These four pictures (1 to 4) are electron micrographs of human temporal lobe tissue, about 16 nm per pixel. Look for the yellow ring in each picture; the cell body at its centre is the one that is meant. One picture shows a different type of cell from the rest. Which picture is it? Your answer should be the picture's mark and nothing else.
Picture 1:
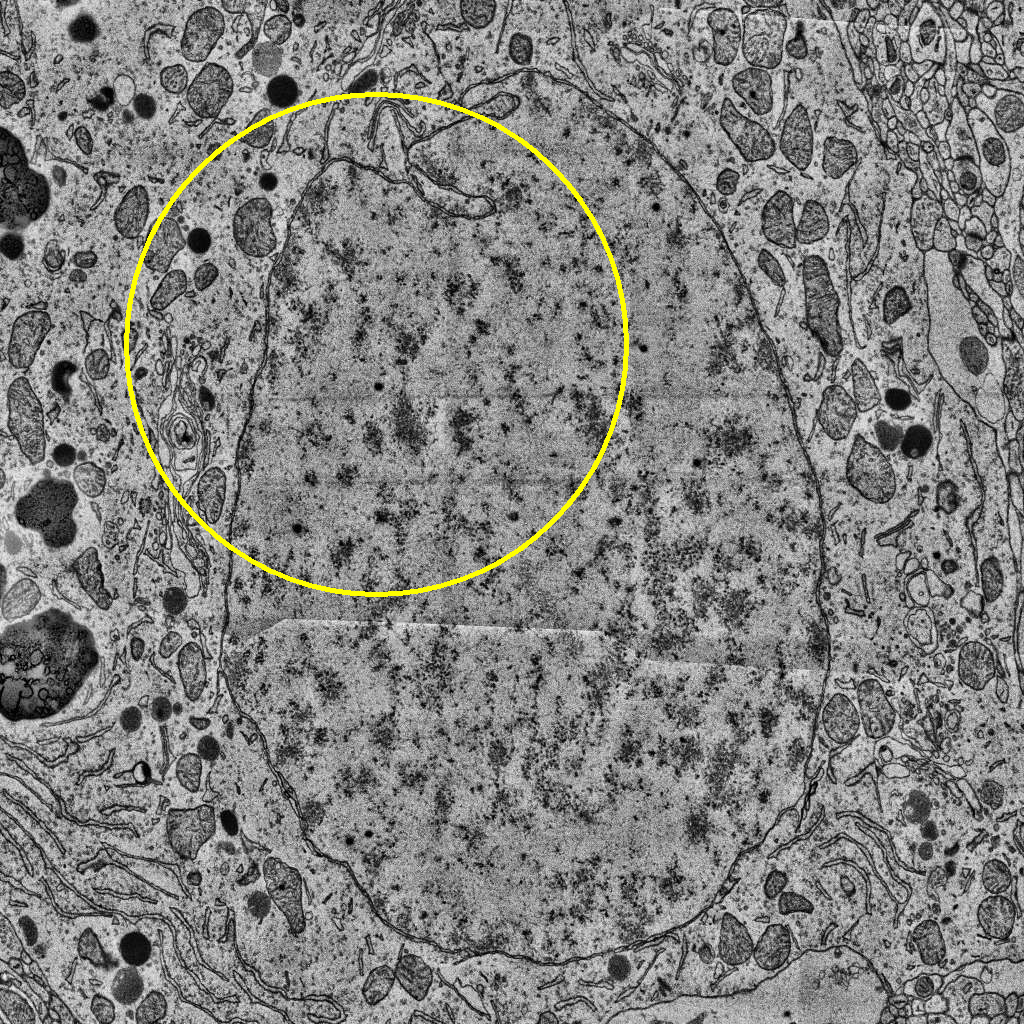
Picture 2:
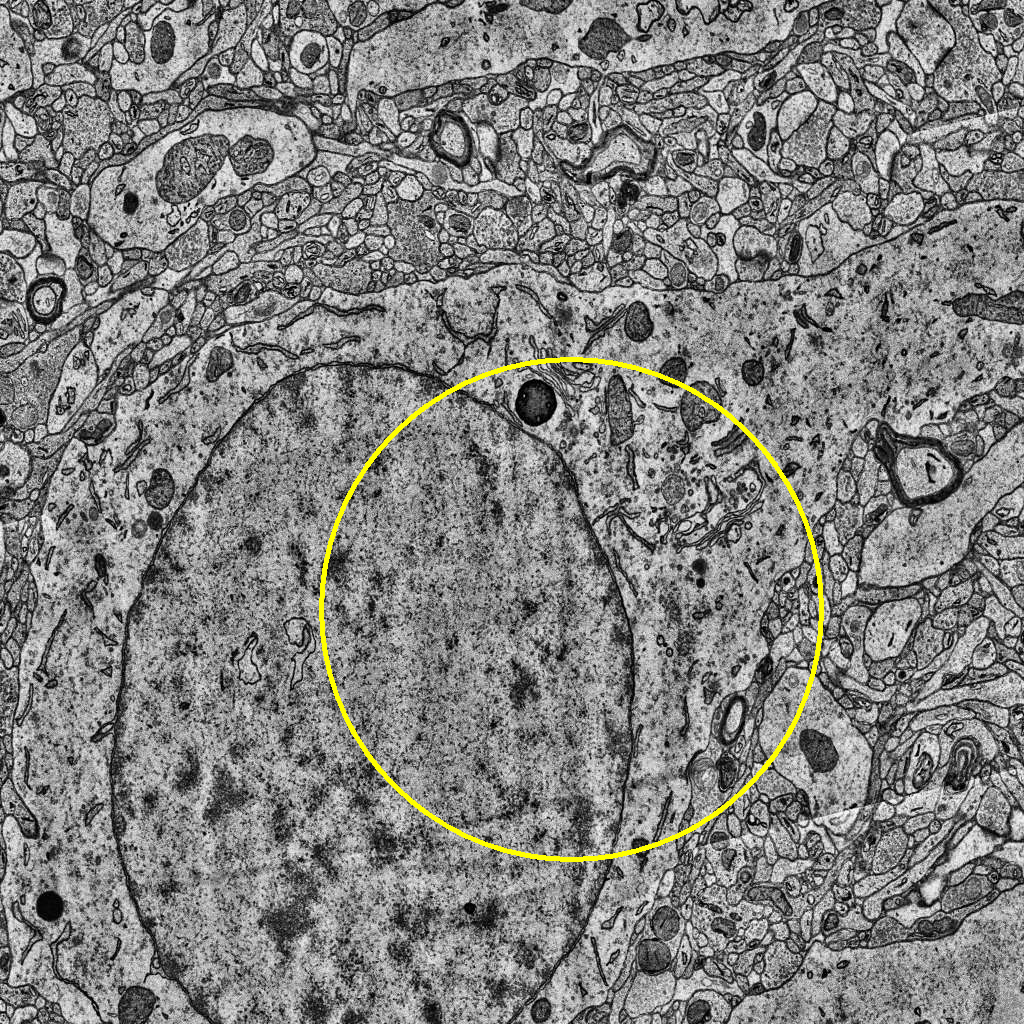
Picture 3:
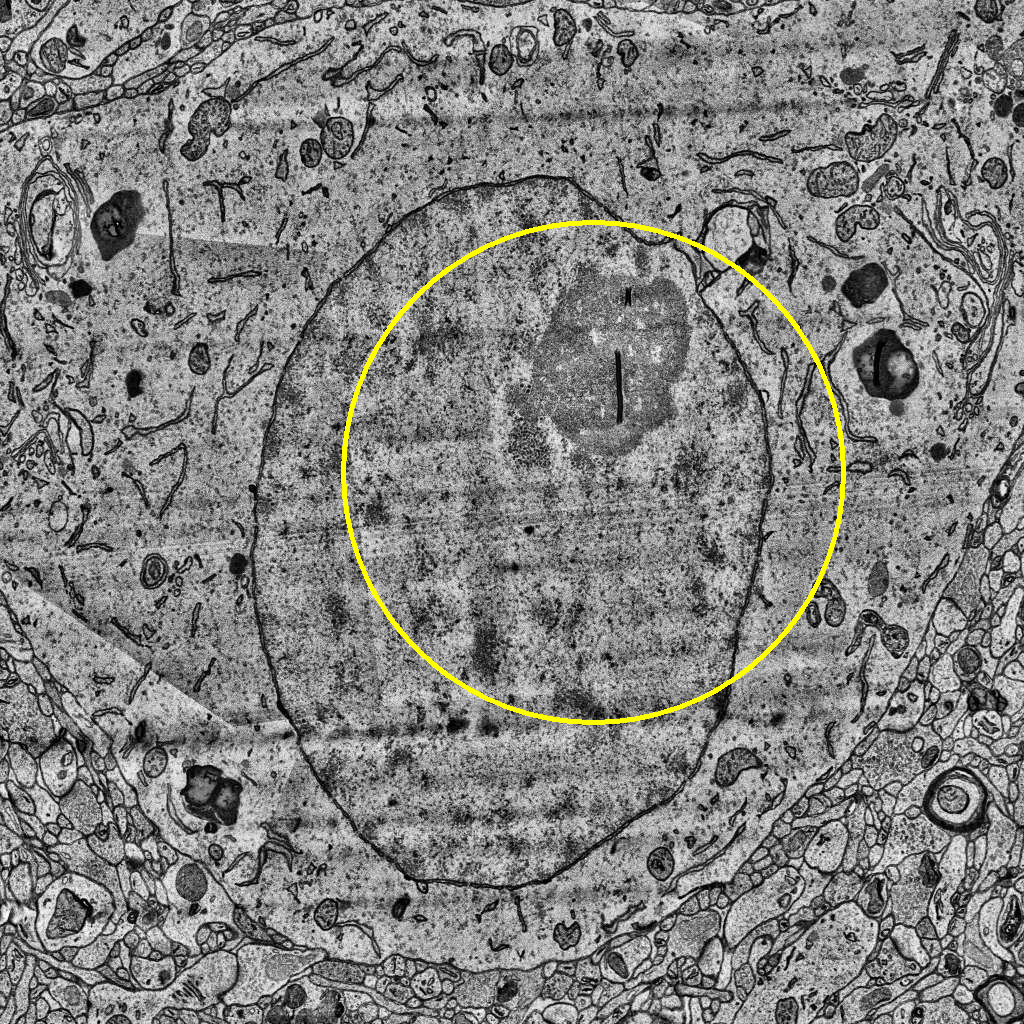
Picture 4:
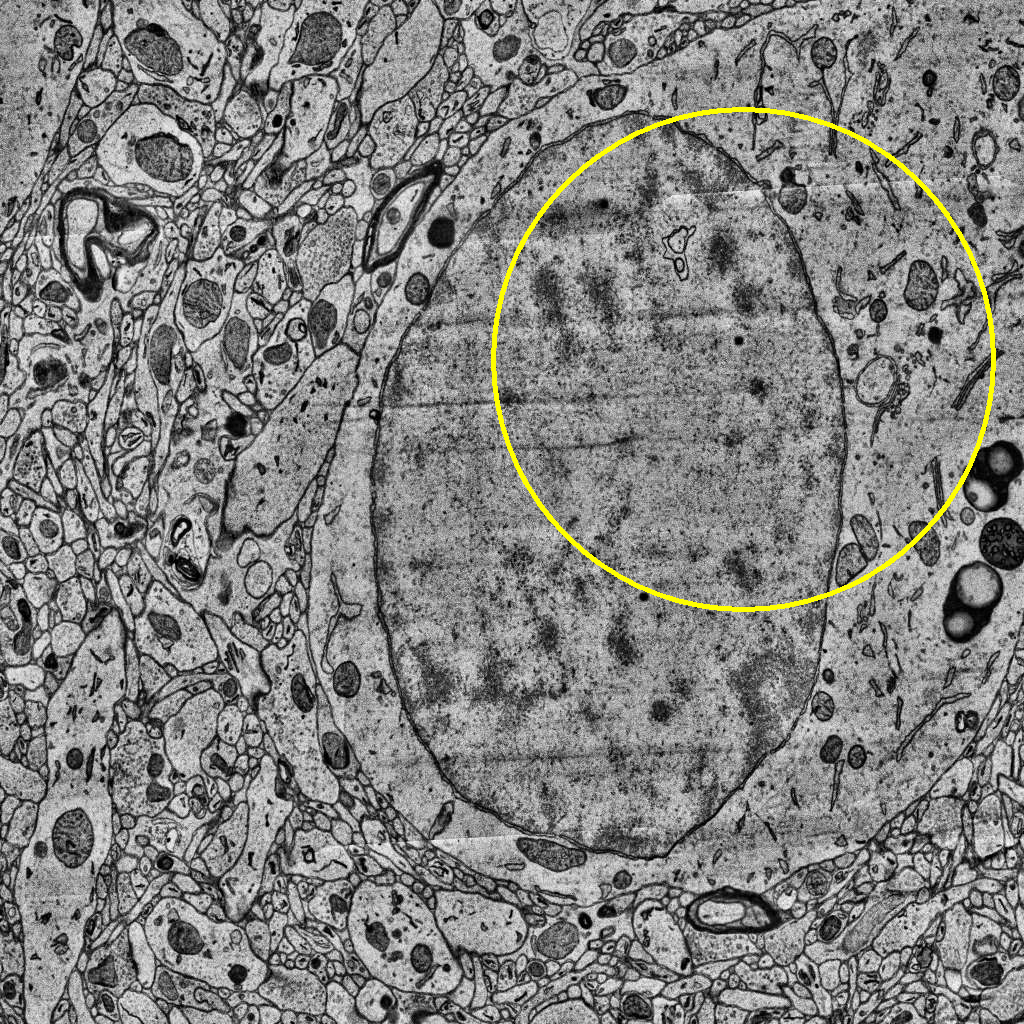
1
